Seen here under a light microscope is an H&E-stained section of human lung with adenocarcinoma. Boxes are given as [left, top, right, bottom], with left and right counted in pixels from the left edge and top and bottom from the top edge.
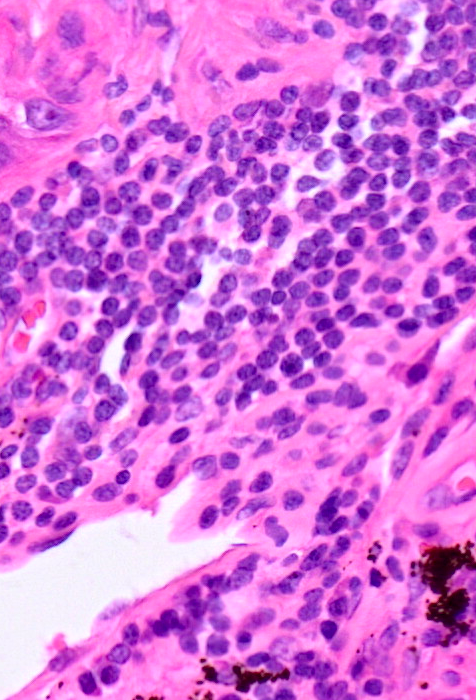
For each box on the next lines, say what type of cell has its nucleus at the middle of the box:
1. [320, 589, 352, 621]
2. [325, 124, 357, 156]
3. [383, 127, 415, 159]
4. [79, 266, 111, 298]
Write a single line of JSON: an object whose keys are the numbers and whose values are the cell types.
{"1": "plasma cell", "2": "lymphocyte", "3": "lymphocyte", "4": "lymphocyte"}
